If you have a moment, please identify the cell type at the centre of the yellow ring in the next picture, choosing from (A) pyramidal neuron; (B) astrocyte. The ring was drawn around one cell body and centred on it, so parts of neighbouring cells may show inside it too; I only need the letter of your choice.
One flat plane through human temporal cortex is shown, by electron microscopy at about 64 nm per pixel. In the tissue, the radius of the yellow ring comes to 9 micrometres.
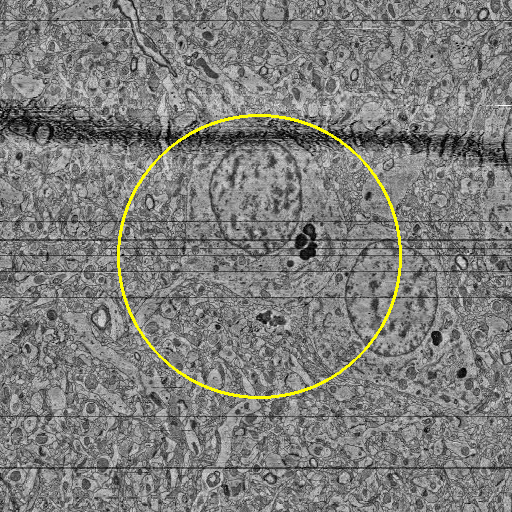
A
